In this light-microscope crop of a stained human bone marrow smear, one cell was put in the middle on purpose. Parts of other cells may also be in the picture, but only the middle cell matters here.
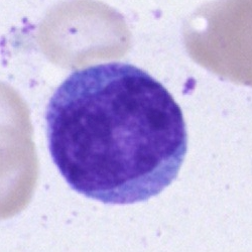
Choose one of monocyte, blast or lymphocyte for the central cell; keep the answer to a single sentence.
Here the cell in the middle is a blast.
